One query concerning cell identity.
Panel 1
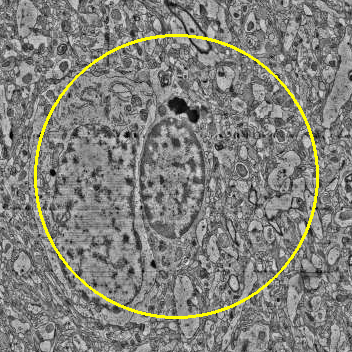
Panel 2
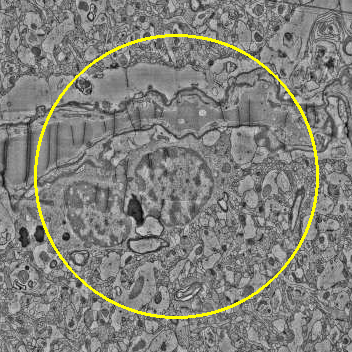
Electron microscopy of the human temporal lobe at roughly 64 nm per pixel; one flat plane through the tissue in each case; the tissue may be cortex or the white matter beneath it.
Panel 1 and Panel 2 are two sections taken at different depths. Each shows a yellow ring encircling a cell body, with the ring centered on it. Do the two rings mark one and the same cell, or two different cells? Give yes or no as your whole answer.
no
